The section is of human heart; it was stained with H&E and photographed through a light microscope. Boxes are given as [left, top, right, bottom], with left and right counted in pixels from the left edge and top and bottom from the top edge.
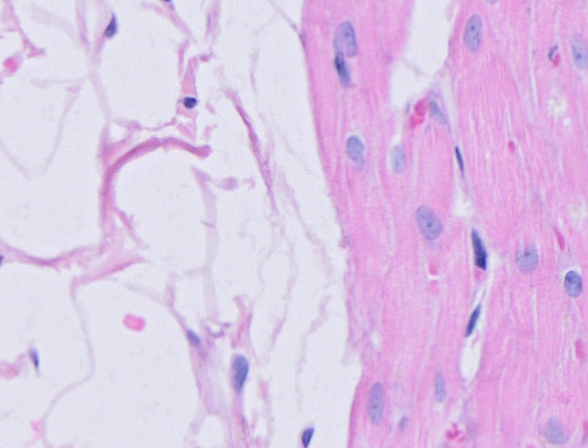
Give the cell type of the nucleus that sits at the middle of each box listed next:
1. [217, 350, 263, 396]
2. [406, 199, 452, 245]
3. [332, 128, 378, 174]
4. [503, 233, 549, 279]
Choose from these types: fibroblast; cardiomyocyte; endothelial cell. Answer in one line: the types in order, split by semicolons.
fibroblast; cardiomyocyte; cardiomyocyte; cardiomyocyte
